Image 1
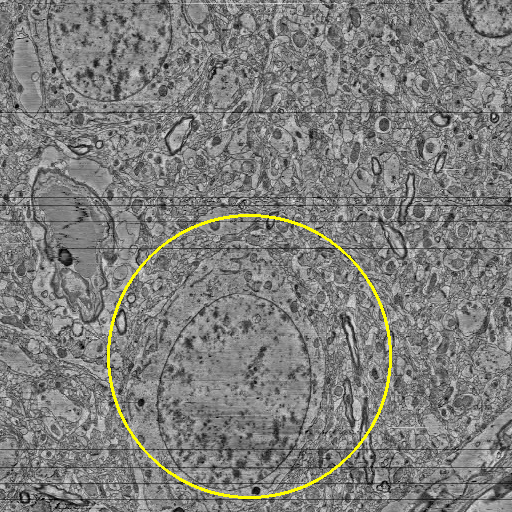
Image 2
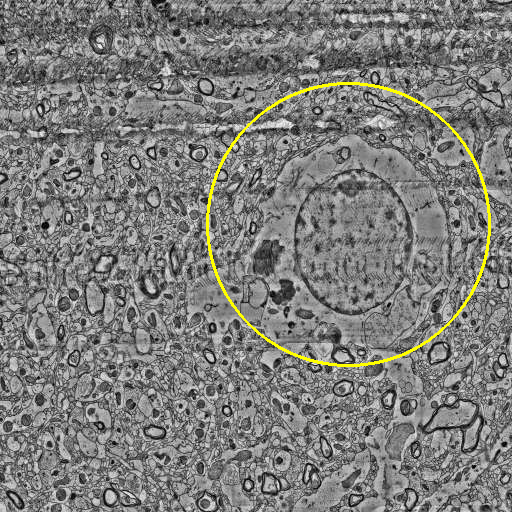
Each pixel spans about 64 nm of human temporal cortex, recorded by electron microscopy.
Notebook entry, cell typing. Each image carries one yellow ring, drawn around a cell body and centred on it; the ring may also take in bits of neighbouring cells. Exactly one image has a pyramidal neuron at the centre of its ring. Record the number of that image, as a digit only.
1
